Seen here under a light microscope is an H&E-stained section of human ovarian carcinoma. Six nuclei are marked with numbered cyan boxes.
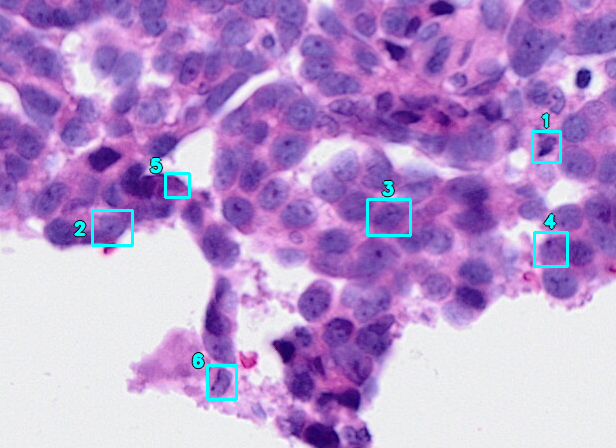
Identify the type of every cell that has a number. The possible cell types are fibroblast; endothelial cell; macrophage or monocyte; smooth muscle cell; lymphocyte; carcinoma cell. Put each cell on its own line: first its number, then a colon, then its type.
1: macrophage or monocyte
2: carcinoma cell
3: carcinoma cell
4: carcinoma cell
5: carcinoma cell
6: macrophage or monocyte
